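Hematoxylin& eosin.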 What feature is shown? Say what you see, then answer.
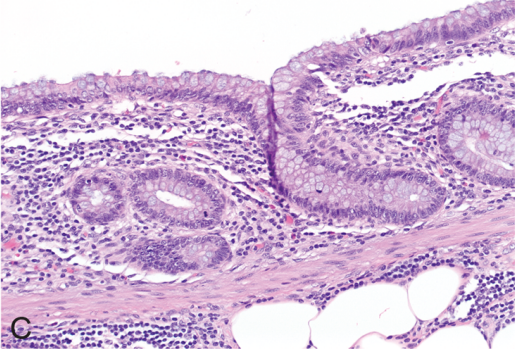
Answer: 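Crypts. Tubular glands lined by columnar epithelium with goblet cells sit in a cellular stroma. The glands are cut in cross and oblique section beneath the surface epithelium.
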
